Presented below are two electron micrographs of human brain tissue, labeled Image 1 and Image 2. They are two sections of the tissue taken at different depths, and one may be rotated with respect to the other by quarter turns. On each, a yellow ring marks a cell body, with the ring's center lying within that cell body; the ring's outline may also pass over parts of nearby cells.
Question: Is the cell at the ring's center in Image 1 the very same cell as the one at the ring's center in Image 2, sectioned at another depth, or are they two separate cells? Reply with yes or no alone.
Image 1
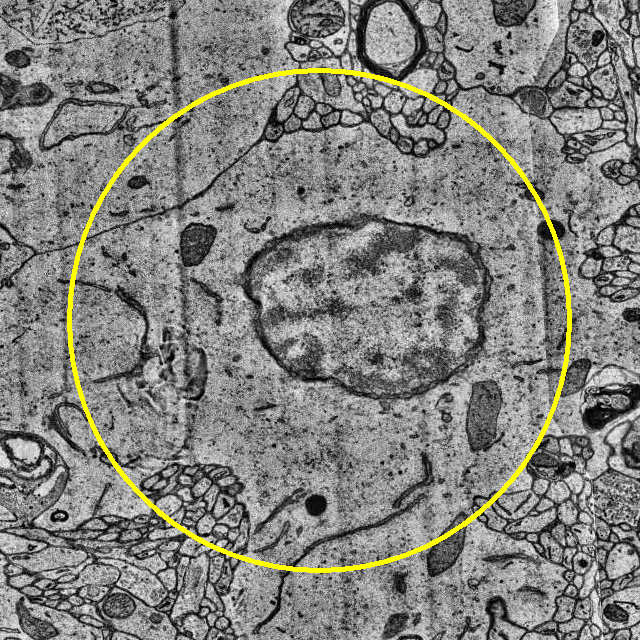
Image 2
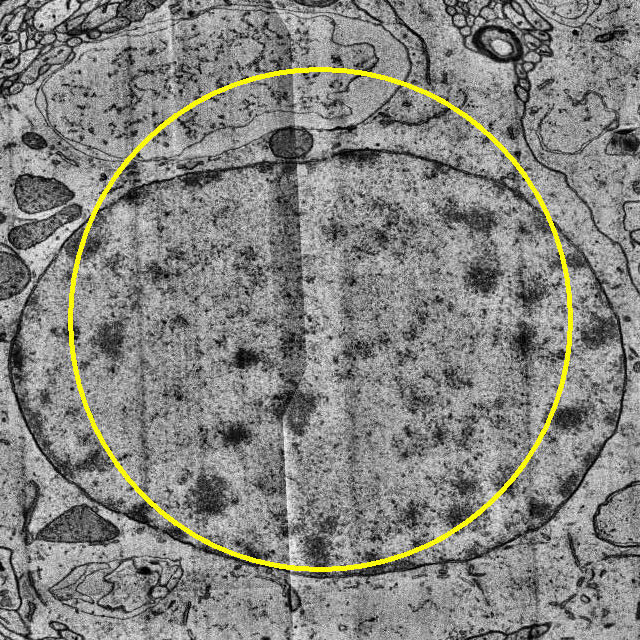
yes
